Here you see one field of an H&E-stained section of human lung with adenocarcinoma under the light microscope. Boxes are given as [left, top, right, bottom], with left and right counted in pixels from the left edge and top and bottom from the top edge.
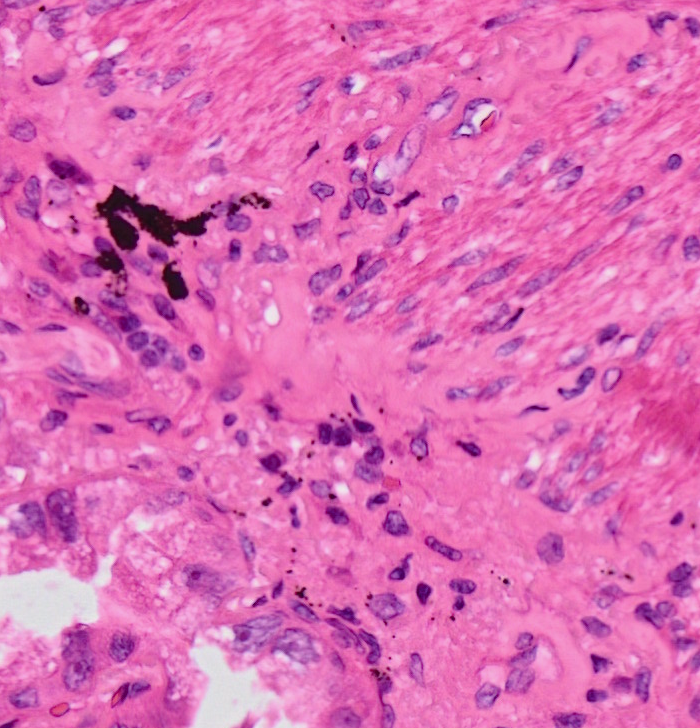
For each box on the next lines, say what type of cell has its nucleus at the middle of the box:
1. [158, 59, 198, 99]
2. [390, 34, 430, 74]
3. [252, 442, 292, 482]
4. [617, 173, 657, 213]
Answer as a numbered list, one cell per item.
1. smooth muscle cell or pericyte
2. smooth muscle cell or pericyte
3. plasma cell
4. smooth muscle cell or pericyte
